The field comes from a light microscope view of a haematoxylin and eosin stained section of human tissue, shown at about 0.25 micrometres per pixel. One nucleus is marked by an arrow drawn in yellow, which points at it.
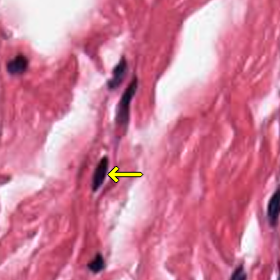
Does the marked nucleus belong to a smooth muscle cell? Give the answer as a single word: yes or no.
no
